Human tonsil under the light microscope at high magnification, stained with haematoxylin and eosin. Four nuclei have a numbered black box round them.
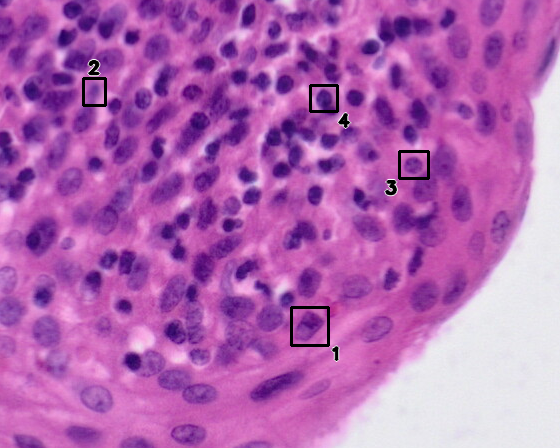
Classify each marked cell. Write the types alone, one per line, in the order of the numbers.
squamous epithelial cell
squamous epithelial cell
squamous epithelial cell
plasma cell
